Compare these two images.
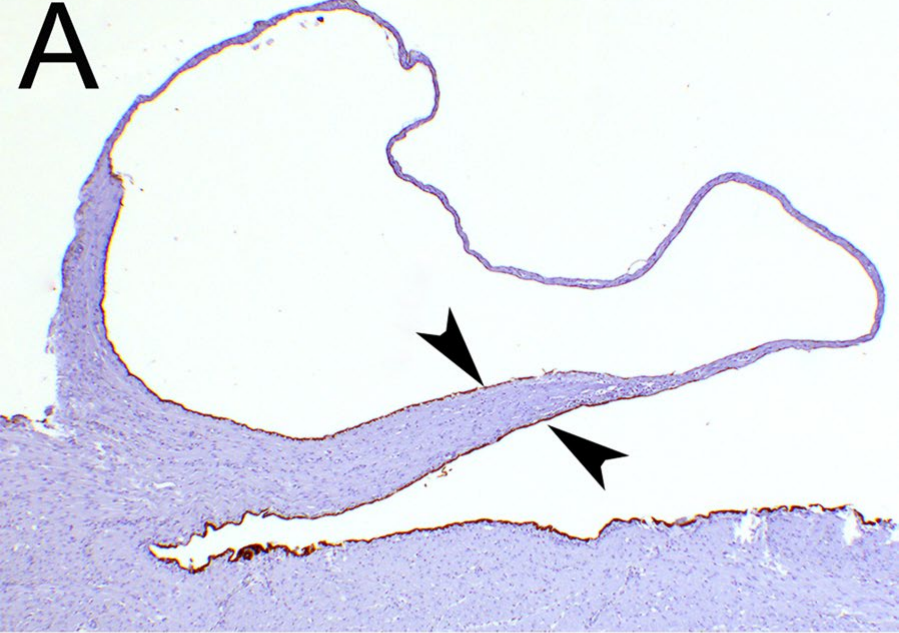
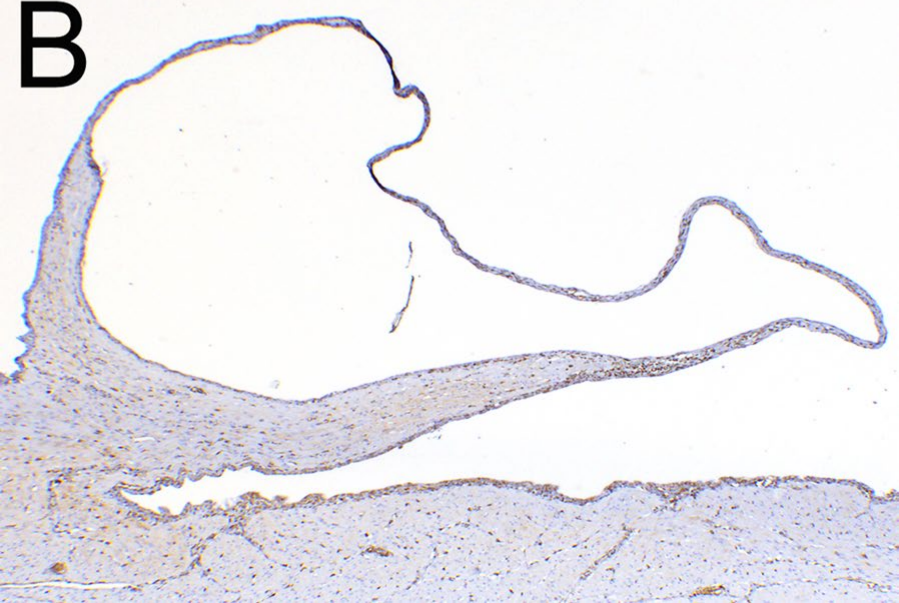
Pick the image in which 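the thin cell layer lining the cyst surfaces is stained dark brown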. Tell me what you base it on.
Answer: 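First image: a continuous dark brown line runs along the lining surfaces, with blue tissue beneath. On this evidence: the first image.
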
